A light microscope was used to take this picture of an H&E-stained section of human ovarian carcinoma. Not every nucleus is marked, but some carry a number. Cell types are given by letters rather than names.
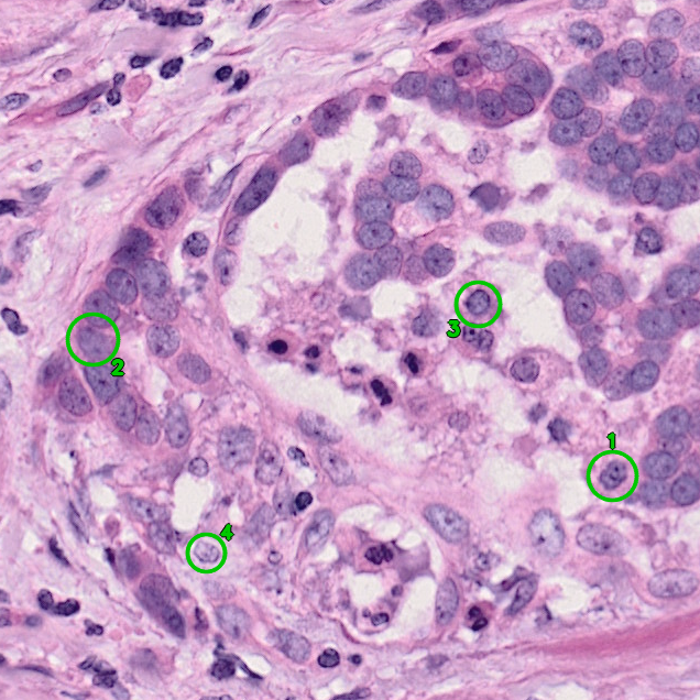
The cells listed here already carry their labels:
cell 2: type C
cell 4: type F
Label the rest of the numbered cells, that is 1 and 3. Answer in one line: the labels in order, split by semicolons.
type F; type F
